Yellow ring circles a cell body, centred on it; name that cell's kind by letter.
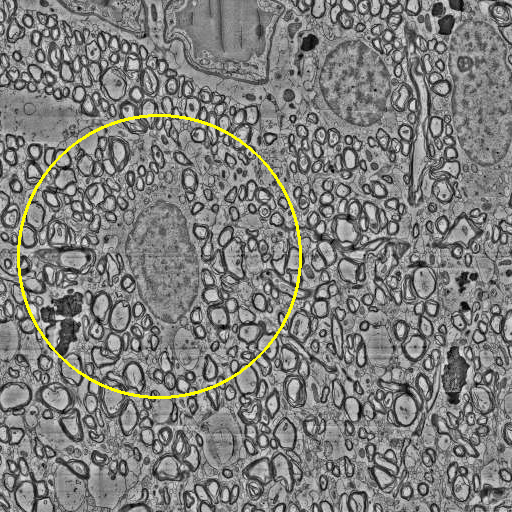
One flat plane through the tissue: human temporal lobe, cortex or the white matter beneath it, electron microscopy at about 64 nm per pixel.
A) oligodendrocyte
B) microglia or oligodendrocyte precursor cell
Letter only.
A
